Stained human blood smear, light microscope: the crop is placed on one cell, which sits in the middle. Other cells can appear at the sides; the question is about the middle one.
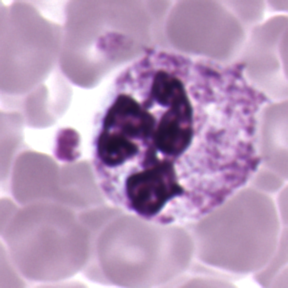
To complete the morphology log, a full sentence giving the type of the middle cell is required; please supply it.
This crop's central cell is a segmented neutrophil.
